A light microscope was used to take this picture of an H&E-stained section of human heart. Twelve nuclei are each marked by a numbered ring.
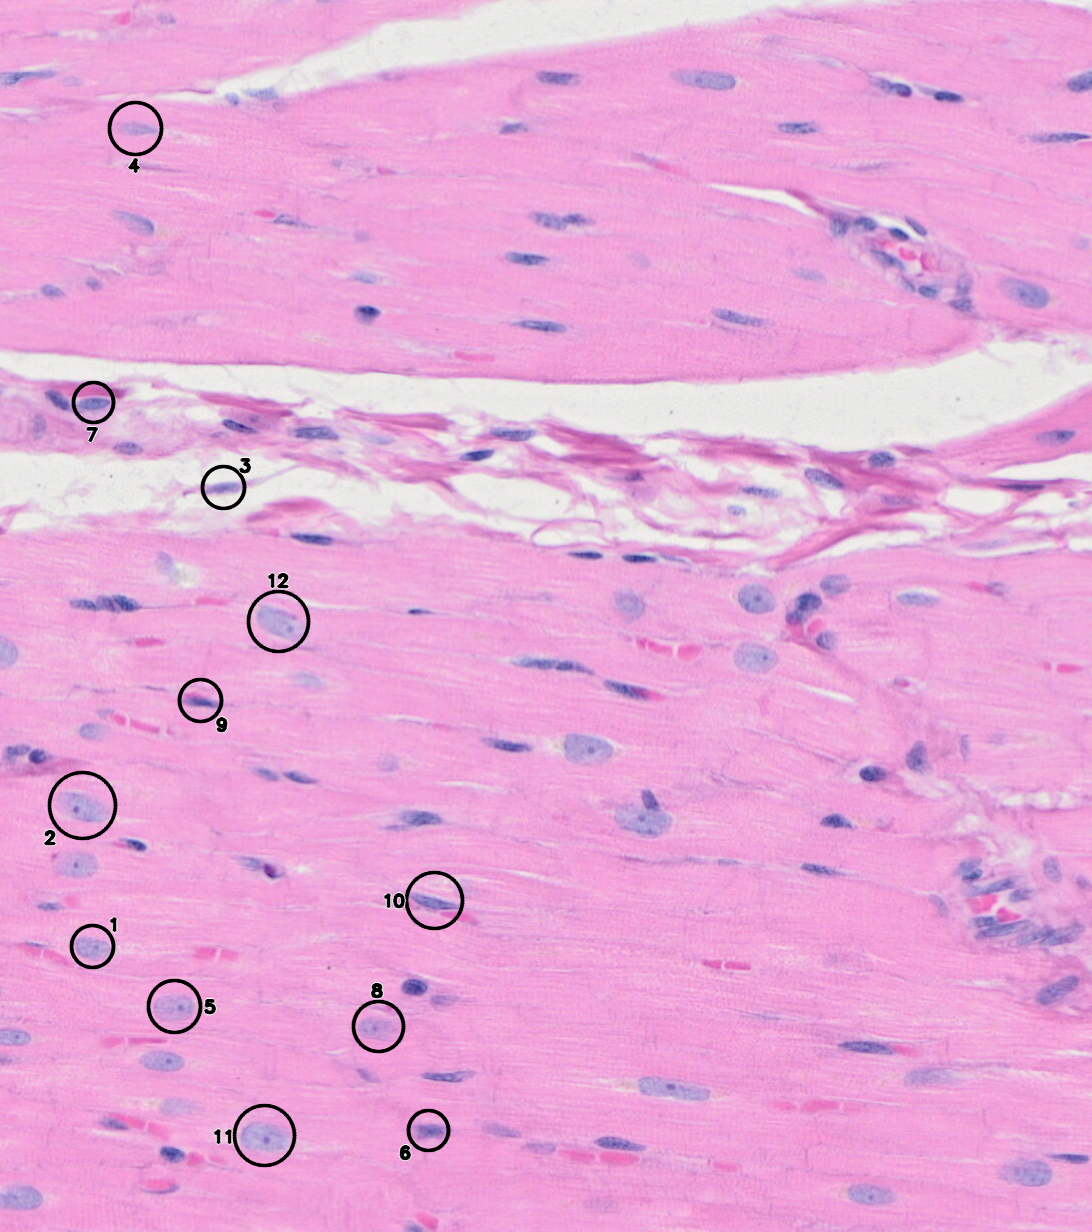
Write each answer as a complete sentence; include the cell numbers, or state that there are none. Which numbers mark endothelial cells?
Classified as endothelial cells are the cells numbered 6, 9 and 10.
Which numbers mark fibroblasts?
The cells carrying the numbers 3 and 7 are fibroblasts.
